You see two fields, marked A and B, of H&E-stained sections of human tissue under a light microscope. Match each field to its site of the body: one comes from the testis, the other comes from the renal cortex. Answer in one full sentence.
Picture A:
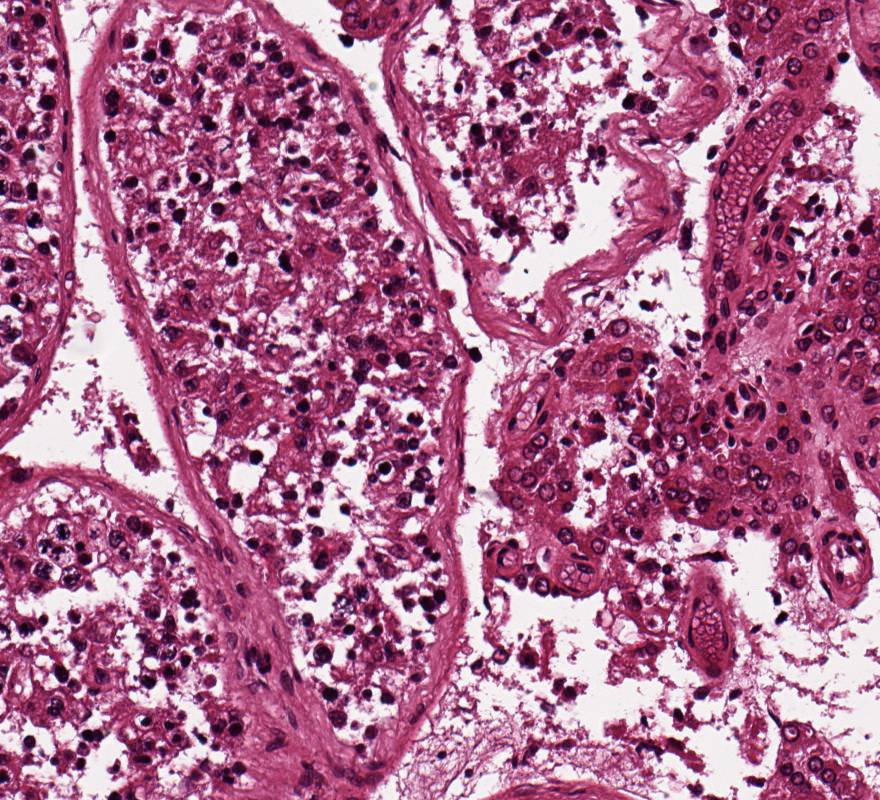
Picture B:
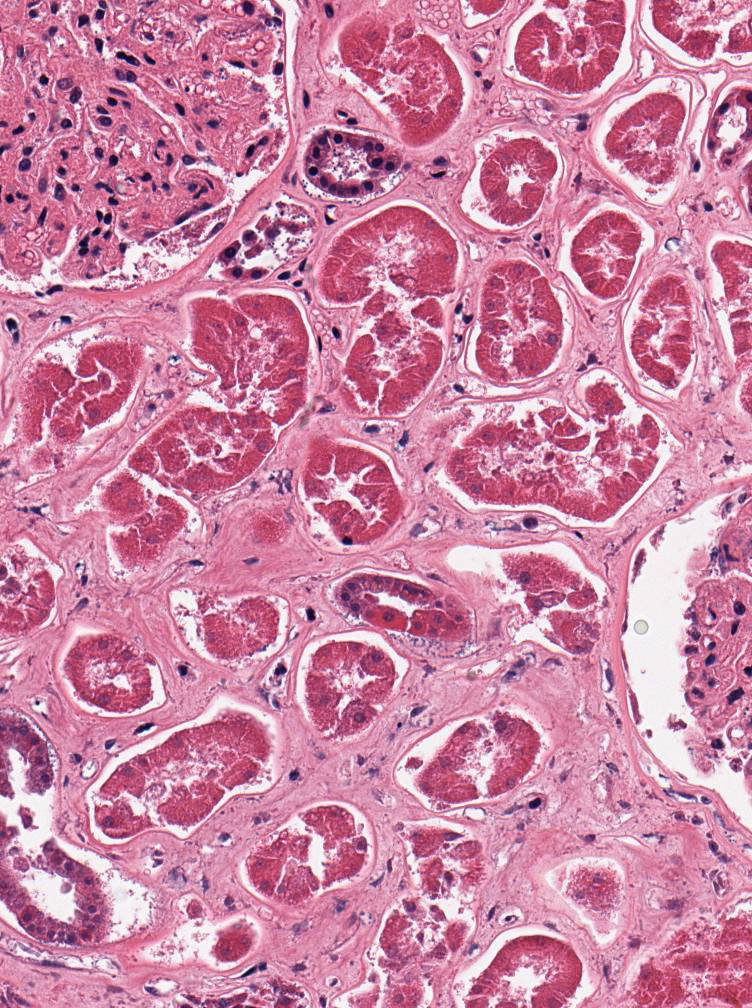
It is picture A that comes from the testis, and picture B that comes from the renal cortex.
